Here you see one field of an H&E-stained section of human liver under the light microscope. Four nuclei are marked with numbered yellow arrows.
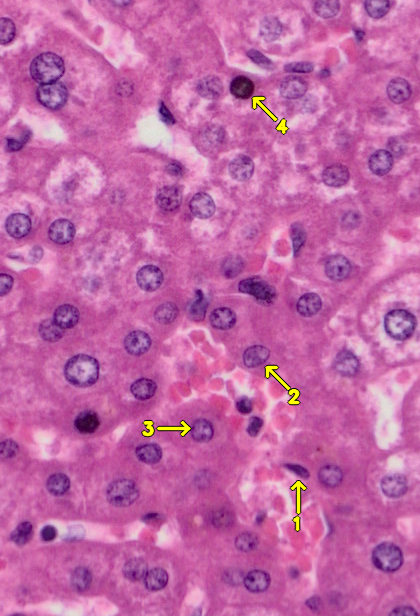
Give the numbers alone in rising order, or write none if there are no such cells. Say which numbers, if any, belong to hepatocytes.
2, 3, 4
